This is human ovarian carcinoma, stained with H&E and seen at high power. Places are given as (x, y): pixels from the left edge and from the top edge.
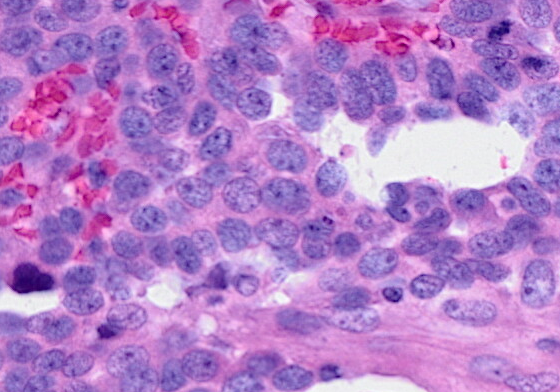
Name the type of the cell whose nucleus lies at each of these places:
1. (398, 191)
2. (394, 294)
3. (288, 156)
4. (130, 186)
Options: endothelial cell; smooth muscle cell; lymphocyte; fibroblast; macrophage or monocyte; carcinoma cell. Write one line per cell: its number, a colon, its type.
1: carcinoma cell
2: lymphocyte
3: carcinoma cell
4: carcinoma cell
